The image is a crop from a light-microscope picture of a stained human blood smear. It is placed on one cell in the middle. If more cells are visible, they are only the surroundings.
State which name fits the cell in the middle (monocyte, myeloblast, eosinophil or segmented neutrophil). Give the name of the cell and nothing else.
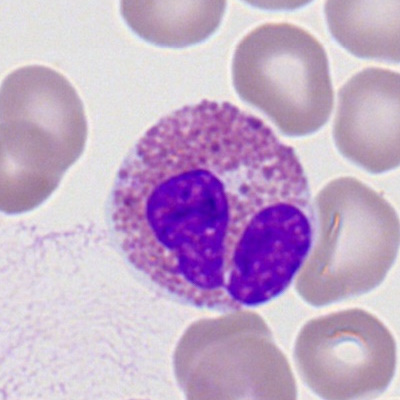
eosinophil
